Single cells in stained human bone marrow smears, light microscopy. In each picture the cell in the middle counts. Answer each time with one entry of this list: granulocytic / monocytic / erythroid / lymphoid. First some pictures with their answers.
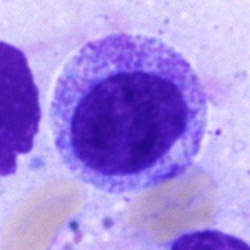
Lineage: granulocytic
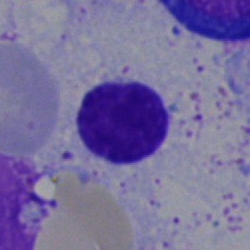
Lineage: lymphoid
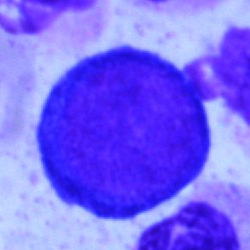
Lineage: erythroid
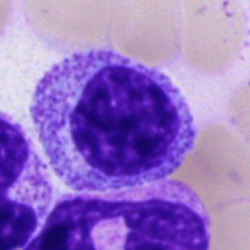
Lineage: granulocytic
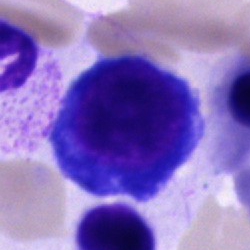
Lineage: erythroid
